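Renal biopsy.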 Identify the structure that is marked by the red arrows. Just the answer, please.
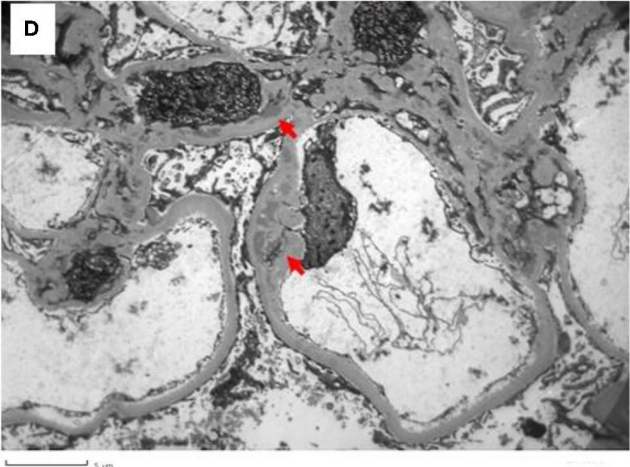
Electron dense deposits.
